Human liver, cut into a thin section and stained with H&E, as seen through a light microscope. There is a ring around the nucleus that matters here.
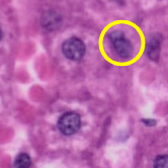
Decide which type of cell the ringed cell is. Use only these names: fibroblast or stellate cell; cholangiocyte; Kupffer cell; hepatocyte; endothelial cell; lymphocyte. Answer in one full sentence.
Histopathologically, the ringed cell is a fibroblast or stellate cell.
